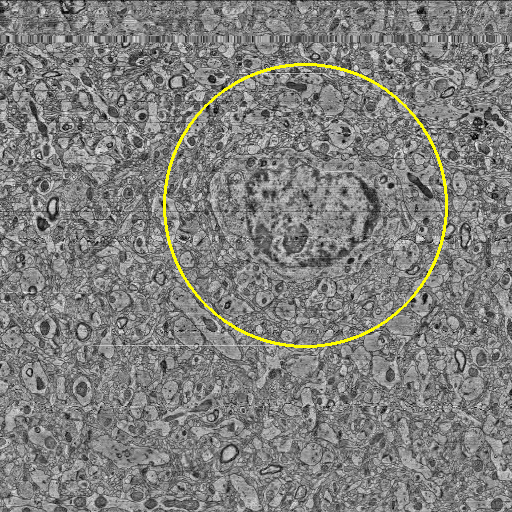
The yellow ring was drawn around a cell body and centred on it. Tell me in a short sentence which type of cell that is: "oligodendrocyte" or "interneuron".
The cell at the ring's centre is an interneuron.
